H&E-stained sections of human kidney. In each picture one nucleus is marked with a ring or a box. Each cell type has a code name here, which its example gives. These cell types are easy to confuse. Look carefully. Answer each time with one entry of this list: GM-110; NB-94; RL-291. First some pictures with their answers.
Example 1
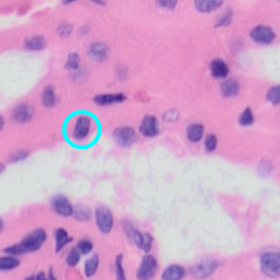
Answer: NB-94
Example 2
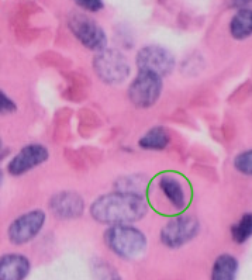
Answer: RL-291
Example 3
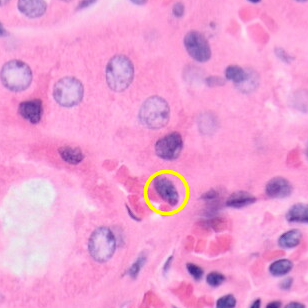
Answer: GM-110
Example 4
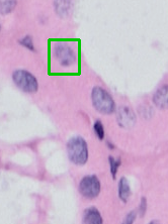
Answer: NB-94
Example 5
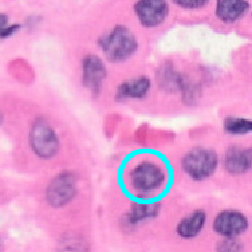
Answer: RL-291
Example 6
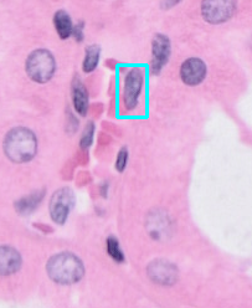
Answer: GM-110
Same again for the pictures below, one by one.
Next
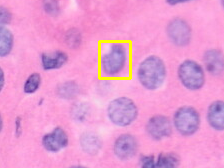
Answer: NB-94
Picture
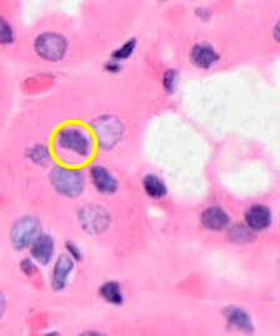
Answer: NB-94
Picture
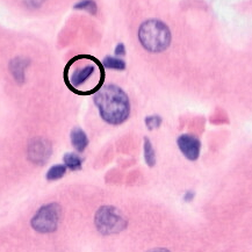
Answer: GM-110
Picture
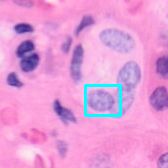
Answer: RL-291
